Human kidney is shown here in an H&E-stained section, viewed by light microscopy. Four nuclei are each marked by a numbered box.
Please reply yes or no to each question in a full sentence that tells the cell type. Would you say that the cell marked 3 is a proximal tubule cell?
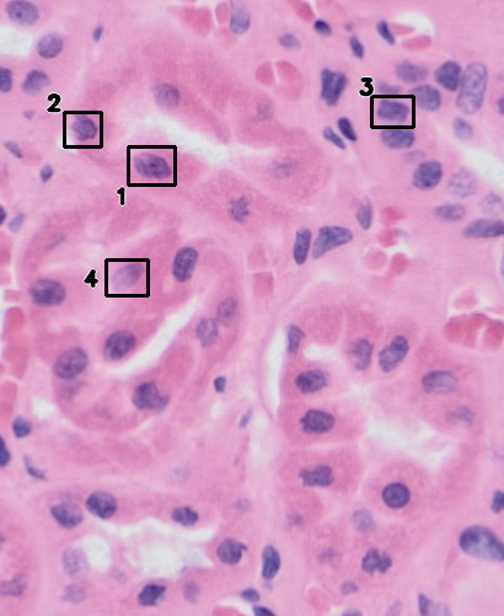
No, calling cell 3 a proximal tubule cell is incorrect; it is a collecting duct cell.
